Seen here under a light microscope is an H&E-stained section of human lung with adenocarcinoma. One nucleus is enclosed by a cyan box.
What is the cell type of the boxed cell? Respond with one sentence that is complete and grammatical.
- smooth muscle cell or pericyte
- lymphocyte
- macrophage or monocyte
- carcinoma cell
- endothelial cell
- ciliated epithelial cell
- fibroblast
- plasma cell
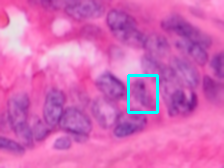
It is as a ciliated epithelial cell that the boxed cell is classified.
